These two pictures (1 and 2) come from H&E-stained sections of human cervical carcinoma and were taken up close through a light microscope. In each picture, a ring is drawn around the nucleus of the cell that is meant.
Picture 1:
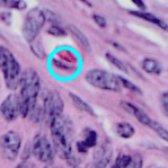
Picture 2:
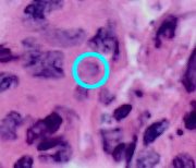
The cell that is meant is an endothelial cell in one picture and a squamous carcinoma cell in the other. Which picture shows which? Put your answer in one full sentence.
Picture 1 shows an endothelial cell and picture 2 shows a squamous carcinoma cell.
